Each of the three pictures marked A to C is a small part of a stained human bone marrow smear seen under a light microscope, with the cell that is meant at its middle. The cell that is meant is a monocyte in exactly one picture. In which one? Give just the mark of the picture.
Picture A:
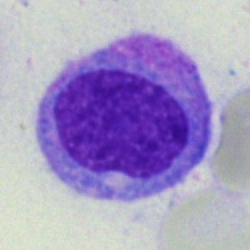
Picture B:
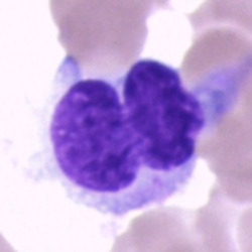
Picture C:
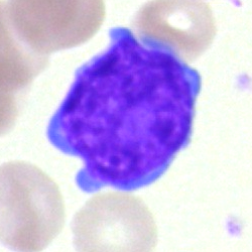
A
